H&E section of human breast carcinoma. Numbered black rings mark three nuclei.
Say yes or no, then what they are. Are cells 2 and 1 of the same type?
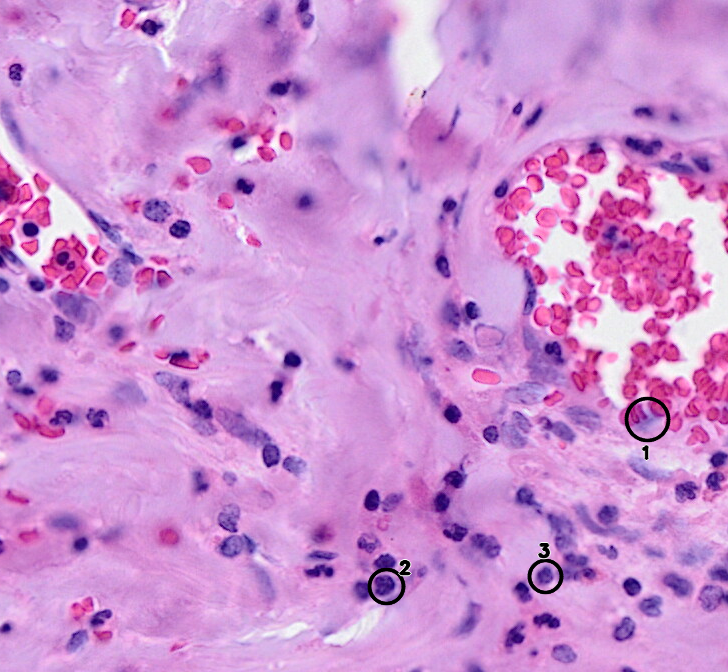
No, cell 2 is a lymphocyte and cell 1 is an endothelial cell.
